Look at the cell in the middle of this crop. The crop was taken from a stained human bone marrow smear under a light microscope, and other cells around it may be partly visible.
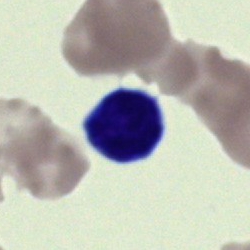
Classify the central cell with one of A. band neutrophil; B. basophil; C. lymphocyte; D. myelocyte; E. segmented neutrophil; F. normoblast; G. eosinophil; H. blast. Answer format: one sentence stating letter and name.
The expected answer is option C, the central cell being a lymphocyte.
